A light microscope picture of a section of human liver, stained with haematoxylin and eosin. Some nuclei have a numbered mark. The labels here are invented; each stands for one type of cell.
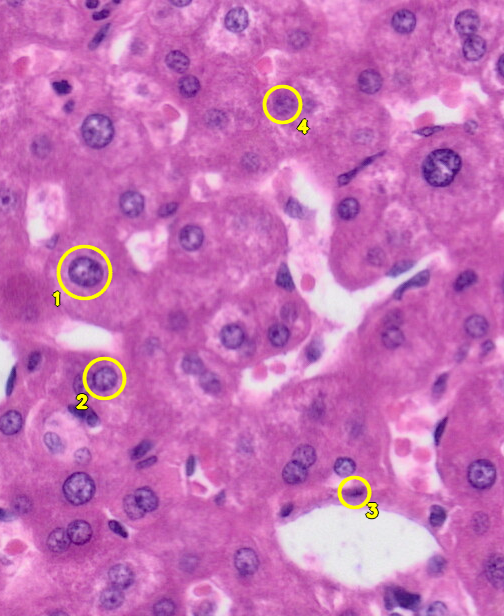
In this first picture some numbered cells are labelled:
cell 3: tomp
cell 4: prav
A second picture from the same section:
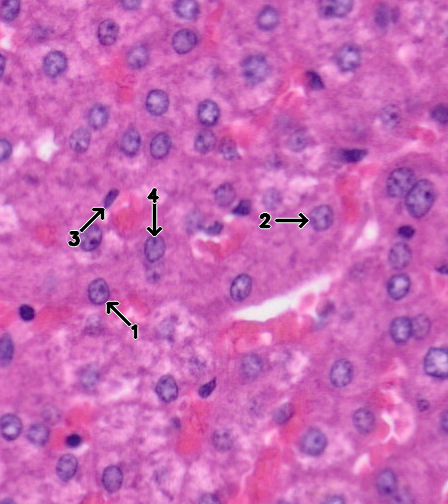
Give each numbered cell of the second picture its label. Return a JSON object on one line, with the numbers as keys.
{"1": "prav", "2": "prav", "3": "tomp", "4": "prav"}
